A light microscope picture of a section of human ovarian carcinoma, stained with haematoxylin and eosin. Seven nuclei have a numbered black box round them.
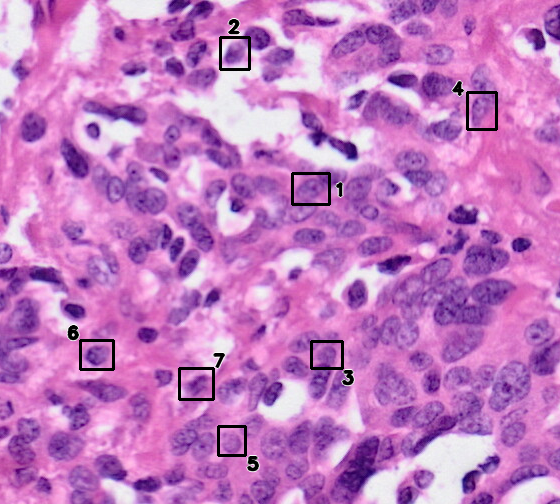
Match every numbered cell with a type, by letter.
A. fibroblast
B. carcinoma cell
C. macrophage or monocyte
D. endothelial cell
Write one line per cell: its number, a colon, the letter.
1: B
2: B
3: B
4: C
5: B
6: C
7: C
